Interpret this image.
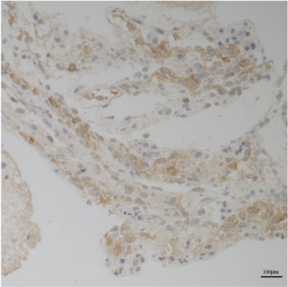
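The cells are plump with oval to elongated blue nuclei and sit in cords and sheets separated by pale, loose spaces. The brown stain lies in the cytoplasm around the nuclei, while the nuclei themselves stay blue. Staining is patchy, some cells strongly brown and others paler.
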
